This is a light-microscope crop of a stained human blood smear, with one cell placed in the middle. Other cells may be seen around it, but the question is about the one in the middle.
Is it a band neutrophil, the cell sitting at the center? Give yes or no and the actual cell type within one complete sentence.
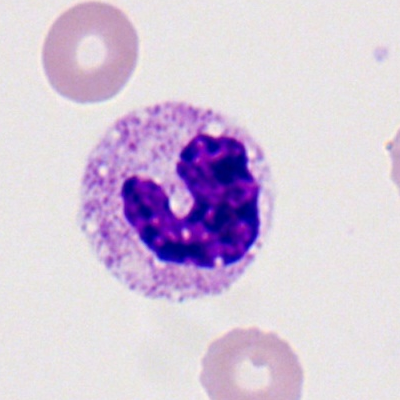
Yes, the cell of interest in the middle is a band neutrophil.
